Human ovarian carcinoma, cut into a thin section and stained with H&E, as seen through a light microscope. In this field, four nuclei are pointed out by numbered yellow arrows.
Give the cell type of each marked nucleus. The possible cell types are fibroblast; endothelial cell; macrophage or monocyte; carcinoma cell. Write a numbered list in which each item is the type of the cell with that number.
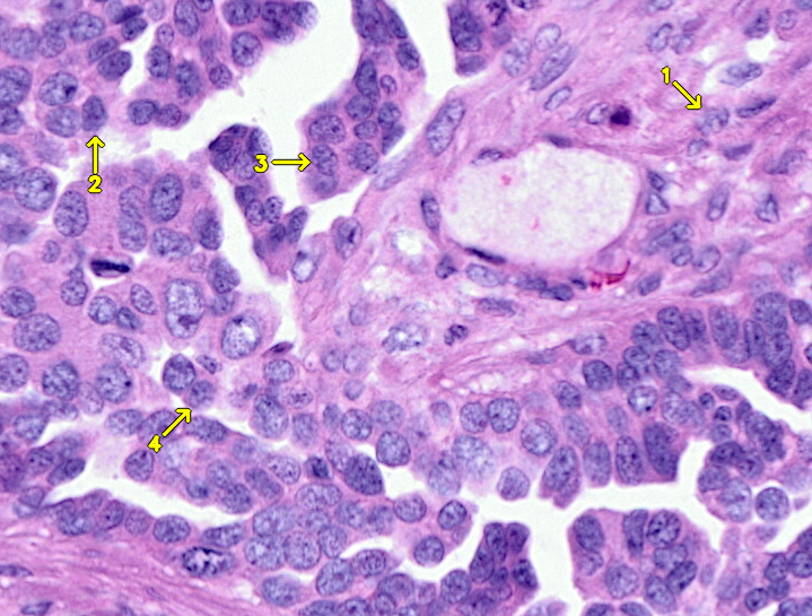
1. fibroblast
2. carcinoma cell
3. carcinoma cell
4. carcinoma cell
